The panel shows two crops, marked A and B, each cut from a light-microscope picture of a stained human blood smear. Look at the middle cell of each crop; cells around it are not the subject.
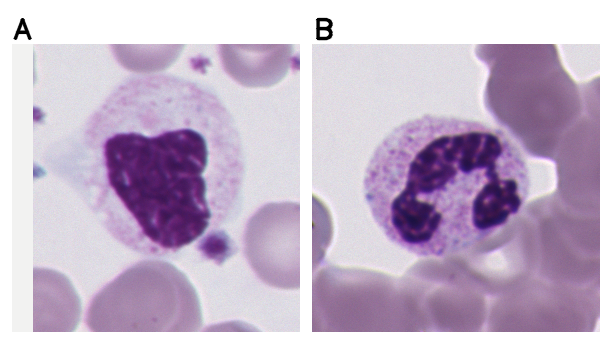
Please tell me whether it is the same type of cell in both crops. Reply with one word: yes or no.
yes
